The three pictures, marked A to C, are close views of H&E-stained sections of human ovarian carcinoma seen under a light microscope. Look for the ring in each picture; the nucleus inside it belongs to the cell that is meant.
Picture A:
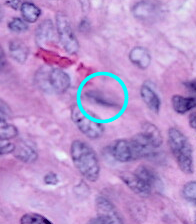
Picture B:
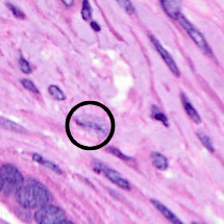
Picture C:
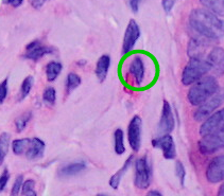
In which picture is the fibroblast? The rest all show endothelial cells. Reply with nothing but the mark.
B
